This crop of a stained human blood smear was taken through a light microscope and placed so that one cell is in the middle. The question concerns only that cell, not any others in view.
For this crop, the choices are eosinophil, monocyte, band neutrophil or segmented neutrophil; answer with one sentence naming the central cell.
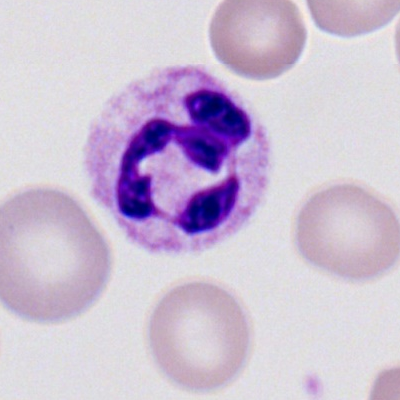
The central element of this crop is a cell, namely a segmented neutrophil.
